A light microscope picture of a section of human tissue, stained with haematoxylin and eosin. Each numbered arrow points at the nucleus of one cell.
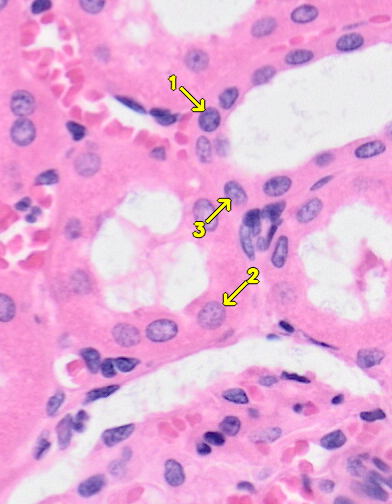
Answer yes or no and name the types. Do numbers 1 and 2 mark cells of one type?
No, cell 1 is a collecting duct cell and cell 2 is a proximal tubule cell.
